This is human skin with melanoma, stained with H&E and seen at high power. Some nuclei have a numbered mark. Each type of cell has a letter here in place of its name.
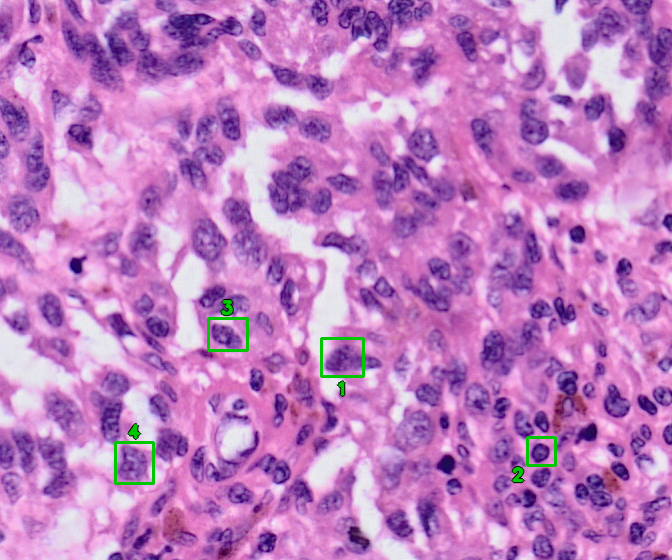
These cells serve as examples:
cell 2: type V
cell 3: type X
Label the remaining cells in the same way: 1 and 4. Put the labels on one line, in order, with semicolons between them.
type X; type X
